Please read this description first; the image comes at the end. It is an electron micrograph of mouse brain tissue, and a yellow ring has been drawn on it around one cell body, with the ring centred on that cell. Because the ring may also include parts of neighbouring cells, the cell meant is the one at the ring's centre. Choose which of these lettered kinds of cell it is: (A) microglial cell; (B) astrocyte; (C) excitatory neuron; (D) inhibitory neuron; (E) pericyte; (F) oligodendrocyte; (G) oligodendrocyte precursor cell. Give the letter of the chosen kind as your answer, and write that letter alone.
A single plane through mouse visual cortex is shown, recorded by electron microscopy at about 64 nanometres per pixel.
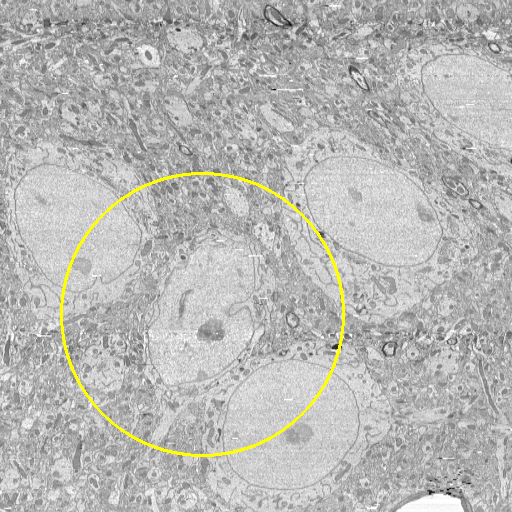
D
